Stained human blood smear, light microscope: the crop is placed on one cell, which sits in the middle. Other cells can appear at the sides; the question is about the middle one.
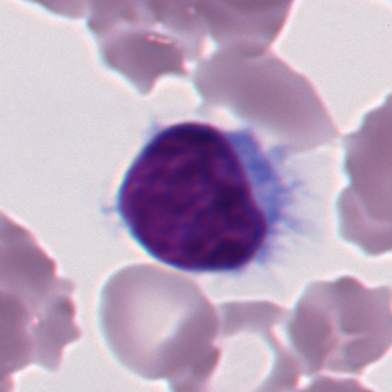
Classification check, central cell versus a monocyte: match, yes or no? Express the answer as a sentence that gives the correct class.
No, the central cell is properly termed a hairy cell, not a monocyte.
